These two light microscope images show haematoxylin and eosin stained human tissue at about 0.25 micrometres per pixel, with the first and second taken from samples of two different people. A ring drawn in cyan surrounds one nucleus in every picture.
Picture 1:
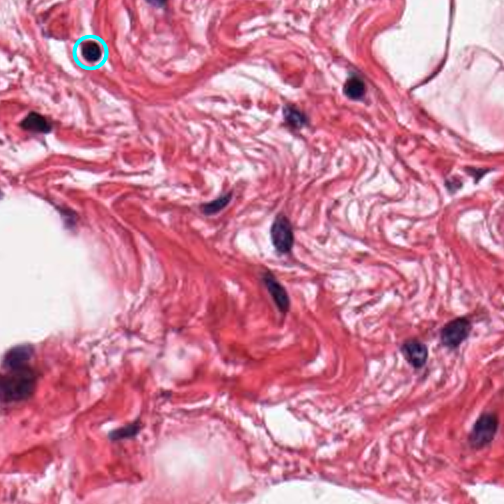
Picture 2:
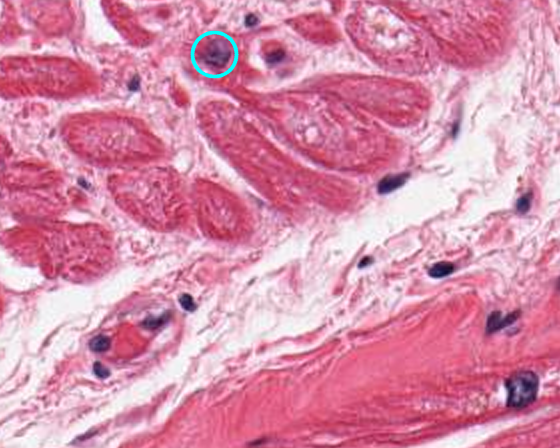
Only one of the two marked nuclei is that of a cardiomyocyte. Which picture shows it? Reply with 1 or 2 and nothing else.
2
